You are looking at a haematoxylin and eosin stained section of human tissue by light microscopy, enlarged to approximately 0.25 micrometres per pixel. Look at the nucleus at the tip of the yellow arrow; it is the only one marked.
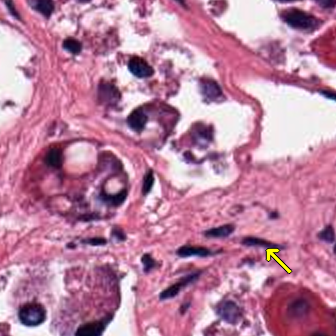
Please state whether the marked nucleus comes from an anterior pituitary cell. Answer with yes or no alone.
no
